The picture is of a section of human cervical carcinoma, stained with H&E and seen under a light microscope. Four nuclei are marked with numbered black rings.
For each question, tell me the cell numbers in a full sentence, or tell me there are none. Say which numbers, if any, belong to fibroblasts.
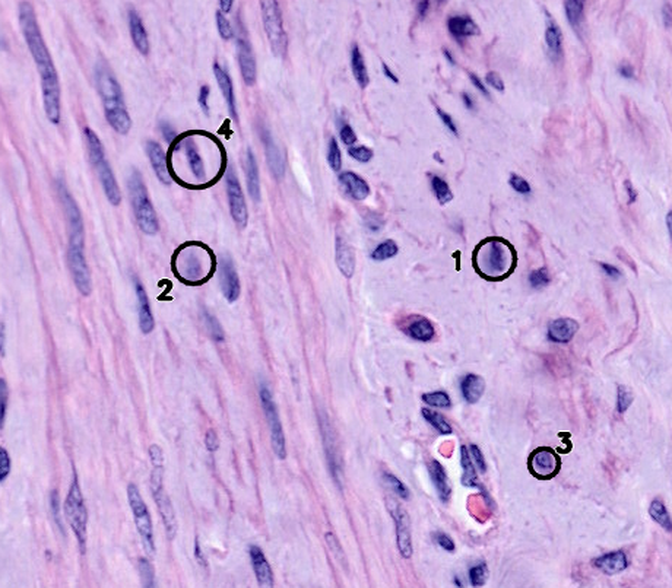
Among the numbered nuclei, only the one labelled 1 belongs to a fibroblast.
